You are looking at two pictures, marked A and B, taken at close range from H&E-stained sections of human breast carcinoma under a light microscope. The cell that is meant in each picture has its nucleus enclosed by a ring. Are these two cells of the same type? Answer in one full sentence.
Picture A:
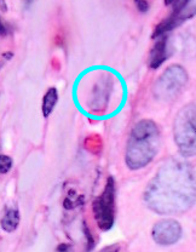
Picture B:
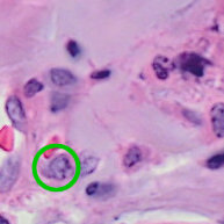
Yes; the cells in both pictures are endothelial cells.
